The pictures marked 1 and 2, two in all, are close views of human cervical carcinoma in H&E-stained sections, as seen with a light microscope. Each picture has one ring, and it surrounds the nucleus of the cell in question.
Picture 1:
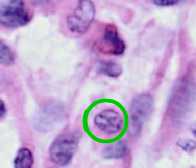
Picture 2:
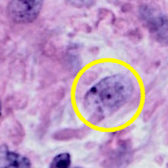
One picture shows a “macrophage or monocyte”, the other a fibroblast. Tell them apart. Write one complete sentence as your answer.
In picture 1 the cell is a “macrophage or monocyte”; in picture 2, a fibroblast.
